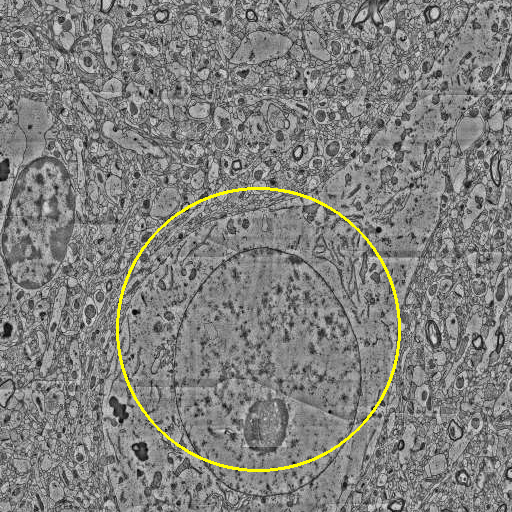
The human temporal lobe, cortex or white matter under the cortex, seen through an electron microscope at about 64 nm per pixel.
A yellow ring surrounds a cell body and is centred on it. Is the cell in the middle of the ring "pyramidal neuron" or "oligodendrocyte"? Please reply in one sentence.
The ring is centred on a pyramidal neuron.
